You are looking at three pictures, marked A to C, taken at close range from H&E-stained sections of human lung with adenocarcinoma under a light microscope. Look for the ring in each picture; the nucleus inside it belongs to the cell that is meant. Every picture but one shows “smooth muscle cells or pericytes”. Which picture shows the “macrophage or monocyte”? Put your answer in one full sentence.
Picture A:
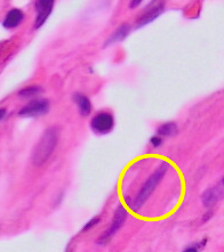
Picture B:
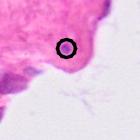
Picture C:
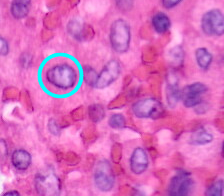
The “macrophage or monocyte” is the one in picture C.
